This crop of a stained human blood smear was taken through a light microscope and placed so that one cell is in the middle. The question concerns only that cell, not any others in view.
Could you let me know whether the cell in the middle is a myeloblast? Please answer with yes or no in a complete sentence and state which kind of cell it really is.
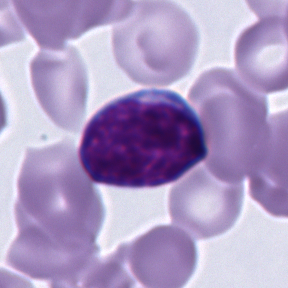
No, the centre of the crop contains a typical lymphocyte rather than a myeloblast.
